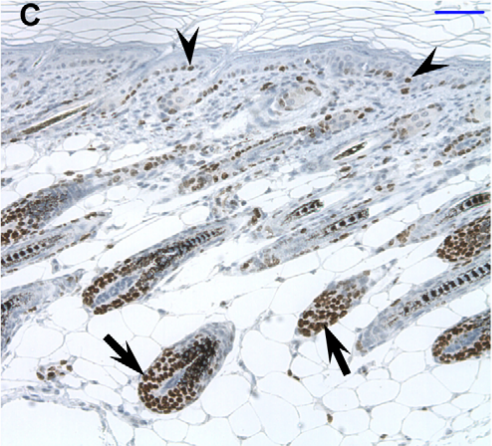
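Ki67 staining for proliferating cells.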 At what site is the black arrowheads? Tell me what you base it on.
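Basal layer of epidermis. The arrowheads point at brown-stained nuclei at the base of the thin surface epithelium. The stained nuclei lie along the border between epithelium and underlying dermis.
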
